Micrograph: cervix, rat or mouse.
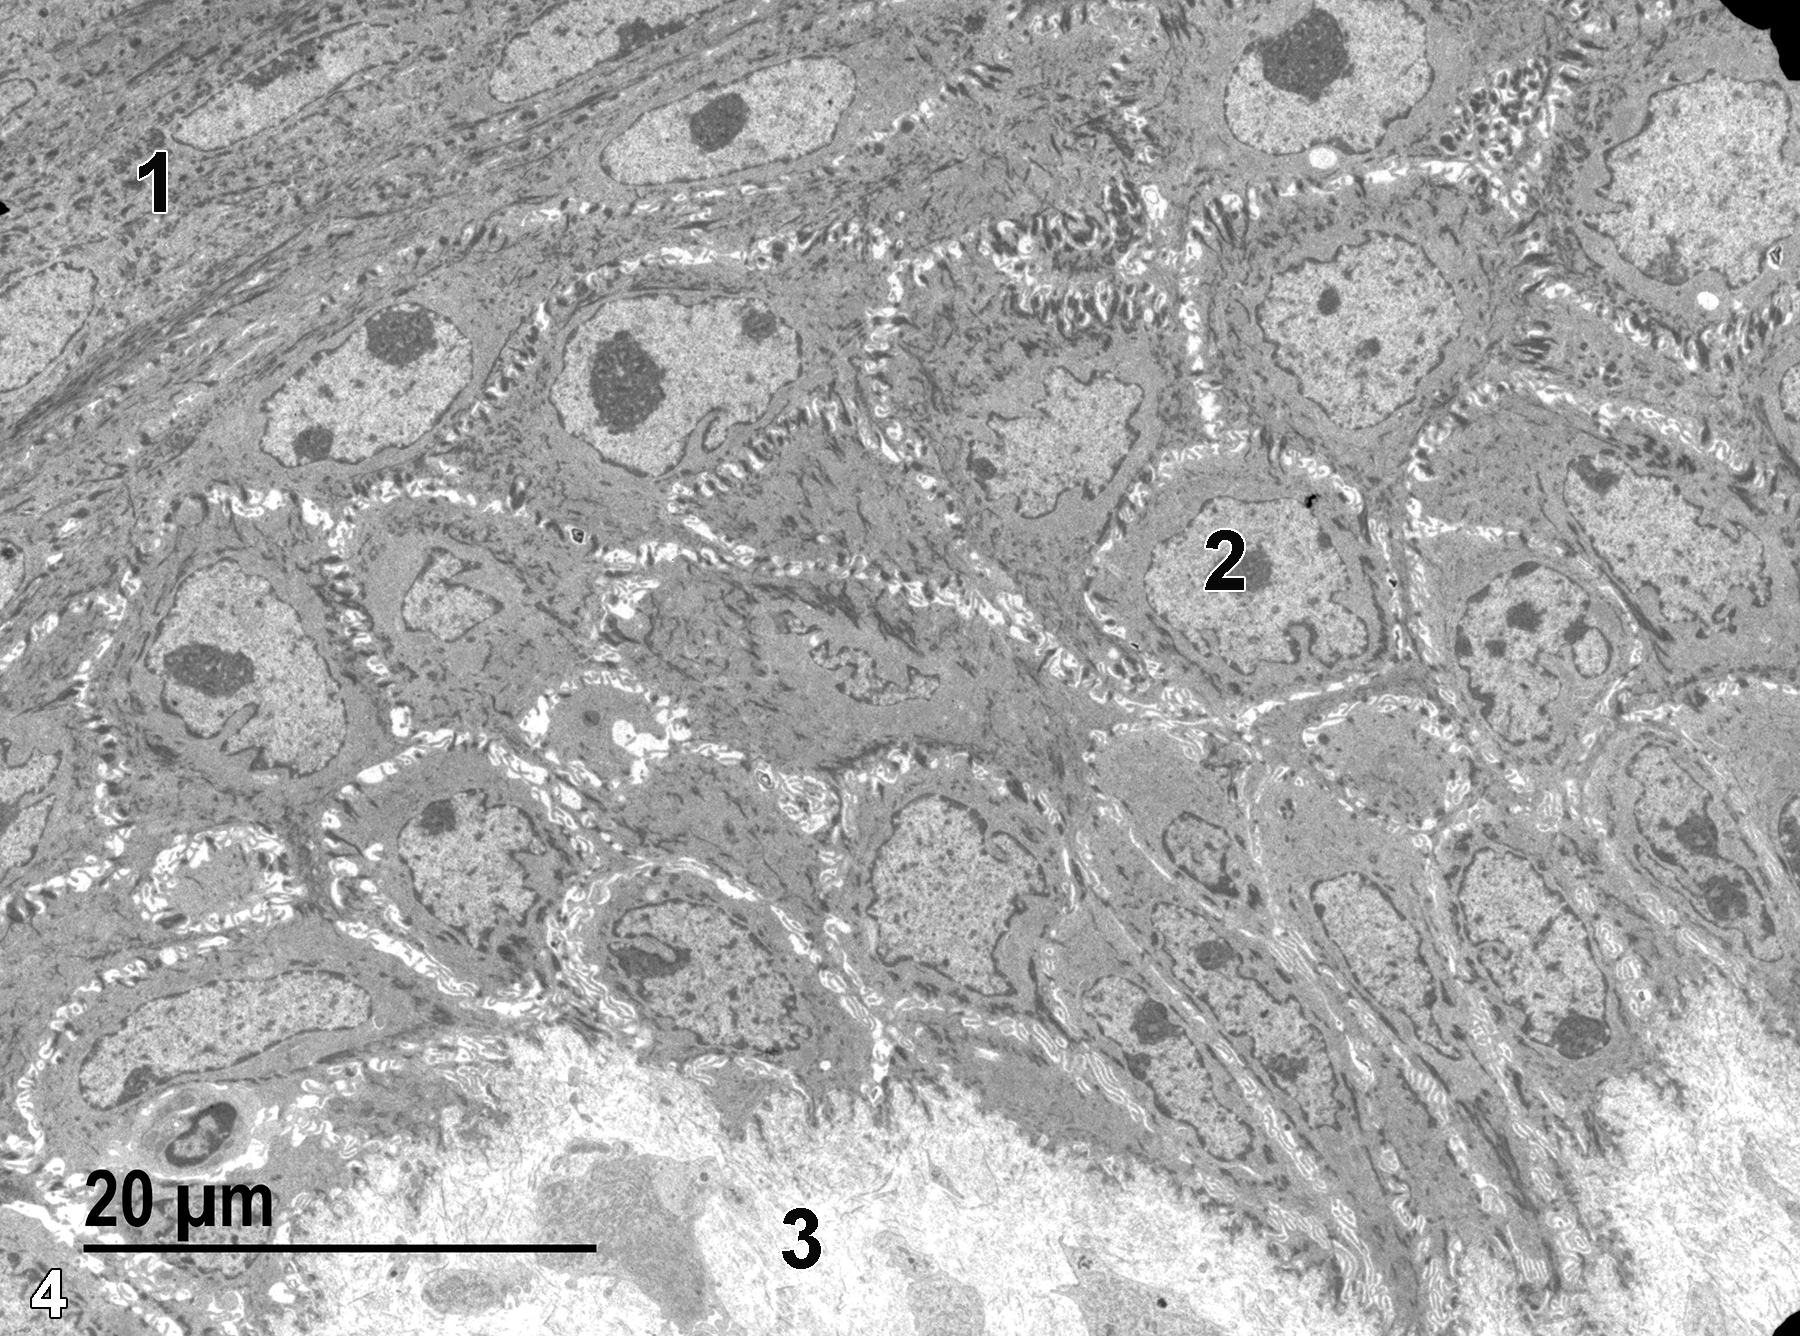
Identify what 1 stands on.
Stratified squamous epithelial cells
